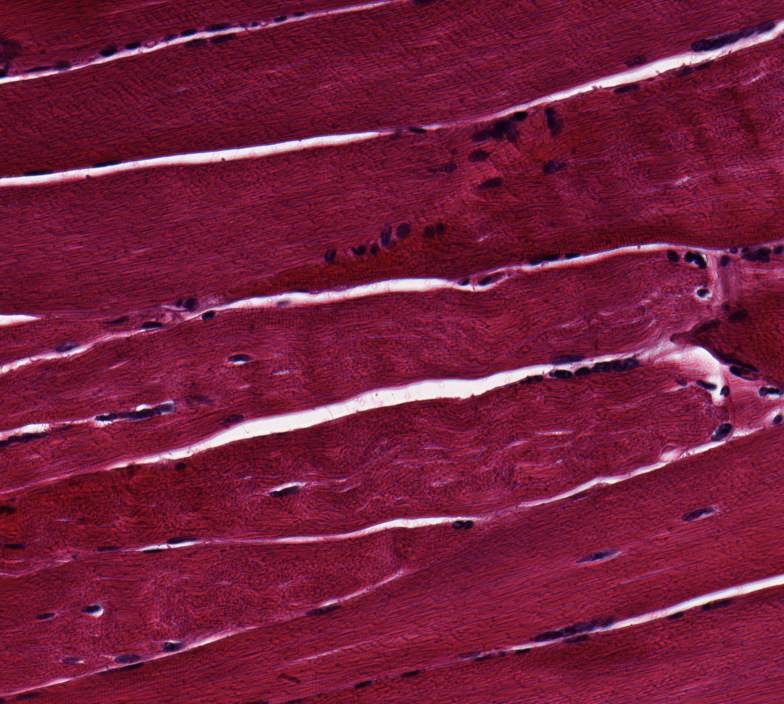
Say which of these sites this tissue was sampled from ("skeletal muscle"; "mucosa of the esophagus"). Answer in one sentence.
The site this tissue was sampled from is the skeletal muscle.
